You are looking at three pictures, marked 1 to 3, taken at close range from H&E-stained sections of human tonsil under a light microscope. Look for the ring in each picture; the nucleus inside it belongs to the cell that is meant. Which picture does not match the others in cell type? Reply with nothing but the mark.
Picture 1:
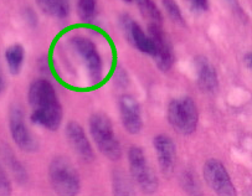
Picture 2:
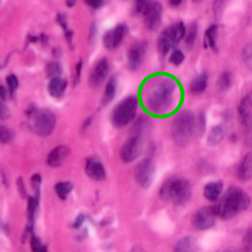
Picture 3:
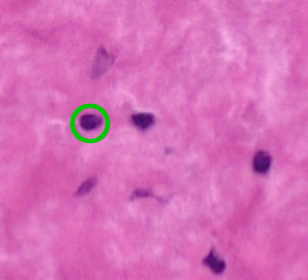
3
